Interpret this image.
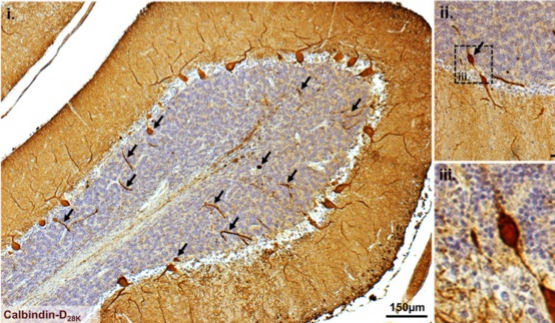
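This is a fold of cerebellar cortex with a central core and layered grey matter wrapped around it. The outer molecular layer is broad and stained diffusely brown, with fine branching processes running through it. A single row of large, flask-shaped, dark brown cell bodies sits along the border between the molecular layer and the inner granular layer. The granular layer is packed with small, round, blue nuclei. Within it, scattered brown, thickened and elongated profiles stand out against the blue background, some swollen along their course. The pale central core of the fold carries fine brown fibres.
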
